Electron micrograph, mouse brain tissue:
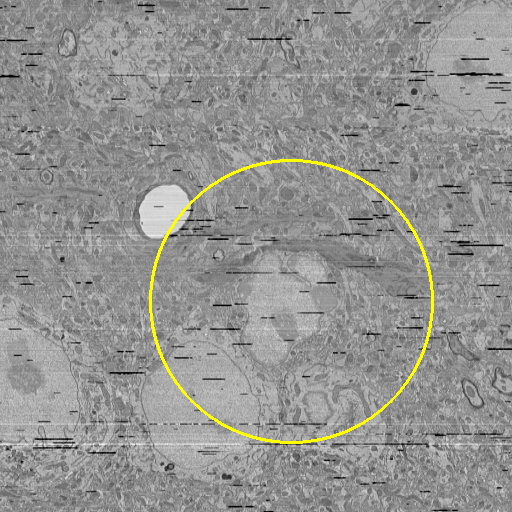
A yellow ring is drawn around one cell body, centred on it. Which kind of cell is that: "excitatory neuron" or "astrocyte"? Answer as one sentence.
It is an astrocyte at the centre of the ring.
